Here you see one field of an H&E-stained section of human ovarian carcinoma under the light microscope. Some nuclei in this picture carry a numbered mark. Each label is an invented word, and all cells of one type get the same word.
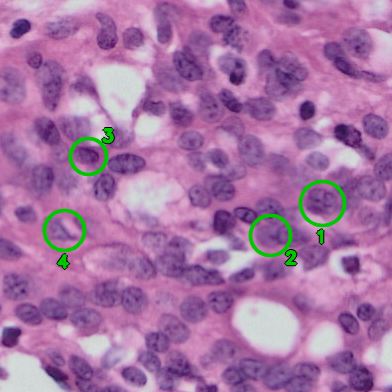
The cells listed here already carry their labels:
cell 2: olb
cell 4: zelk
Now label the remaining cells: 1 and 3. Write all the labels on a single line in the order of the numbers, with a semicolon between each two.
olb; olb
